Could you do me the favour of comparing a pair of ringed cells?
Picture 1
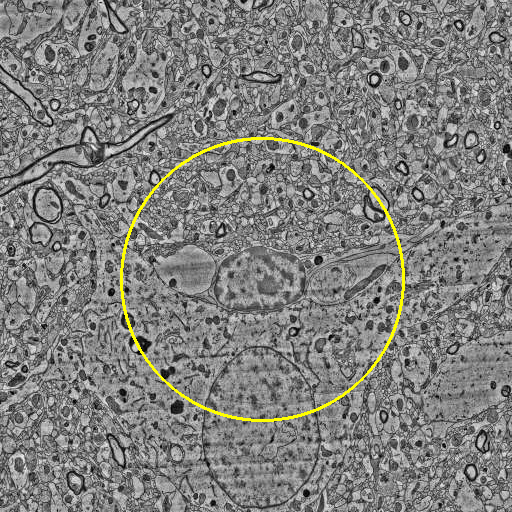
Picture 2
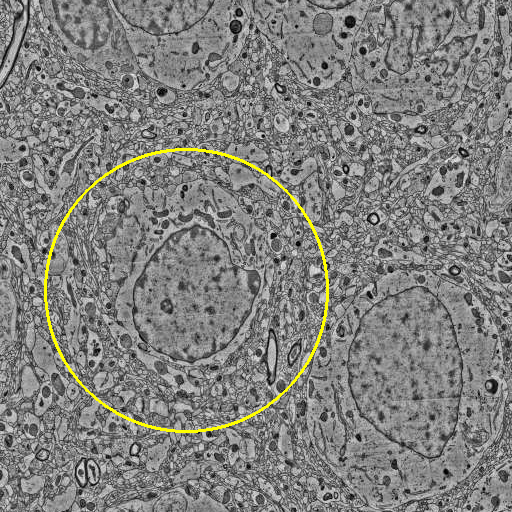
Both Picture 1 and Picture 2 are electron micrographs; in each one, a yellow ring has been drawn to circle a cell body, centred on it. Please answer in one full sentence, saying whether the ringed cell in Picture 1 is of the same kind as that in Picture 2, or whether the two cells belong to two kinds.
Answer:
The ringed cell in Picture 1 is of the same kind as that in Picture 2.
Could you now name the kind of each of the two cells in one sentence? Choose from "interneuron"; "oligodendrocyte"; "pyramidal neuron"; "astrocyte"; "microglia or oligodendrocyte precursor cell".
The ring centre holds a microglial cell or oligodendrocyte precursor cell in each of the two pictures.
